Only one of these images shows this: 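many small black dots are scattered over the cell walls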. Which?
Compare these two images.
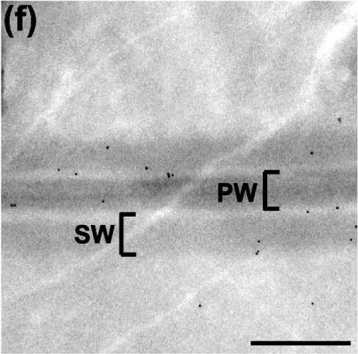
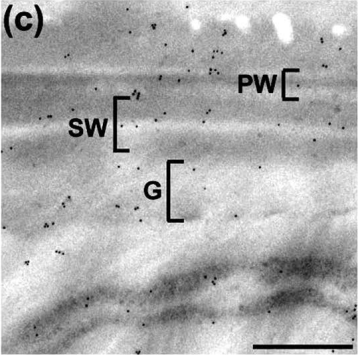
The second image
